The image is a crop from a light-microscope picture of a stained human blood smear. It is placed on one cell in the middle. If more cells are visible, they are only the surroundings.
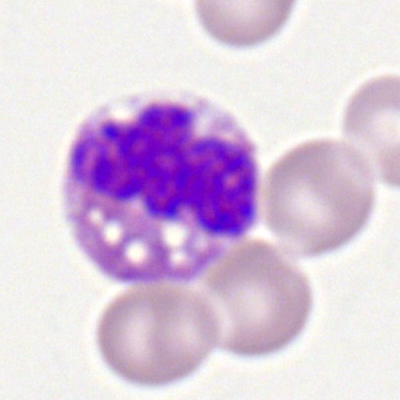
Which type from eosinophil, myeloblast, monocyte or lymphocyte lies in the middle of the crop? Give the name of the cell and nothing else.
eosinophil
